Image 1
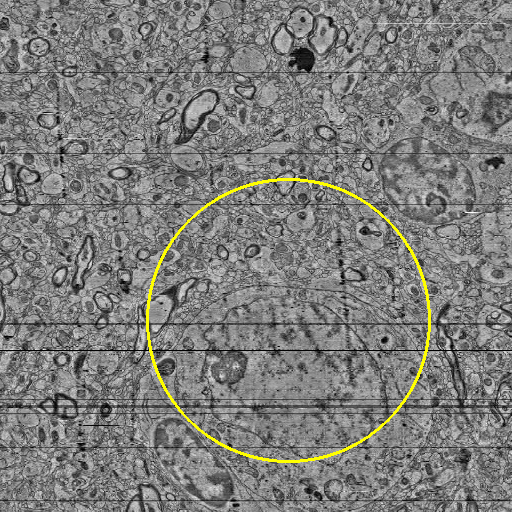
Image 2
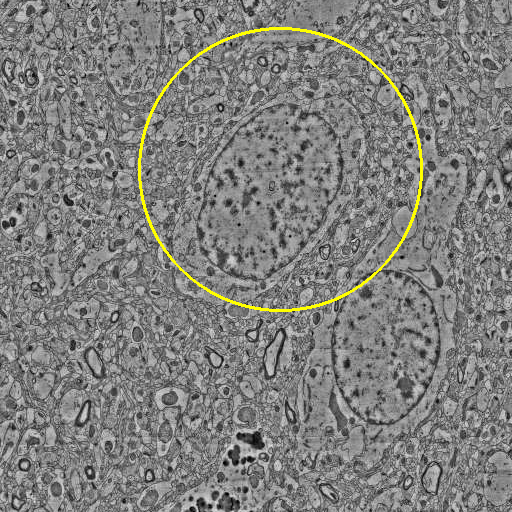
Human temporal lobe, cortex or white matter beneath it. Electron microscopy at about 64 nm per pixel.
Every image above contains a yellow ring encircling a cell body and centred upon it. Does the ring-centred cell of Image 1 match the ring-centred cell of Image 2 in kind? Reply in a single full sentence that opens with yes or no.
No, the cell at the ring's centre in Image 1 is a separate kind from that in Image 2.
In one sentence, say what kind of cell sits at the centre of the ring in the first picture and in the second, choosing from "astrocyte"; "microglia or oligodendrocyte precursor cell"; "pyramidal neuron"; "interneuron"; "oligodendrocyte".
The first picture's ringed cell is a pyramidal neuron, while the second picture's is an interneuron.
